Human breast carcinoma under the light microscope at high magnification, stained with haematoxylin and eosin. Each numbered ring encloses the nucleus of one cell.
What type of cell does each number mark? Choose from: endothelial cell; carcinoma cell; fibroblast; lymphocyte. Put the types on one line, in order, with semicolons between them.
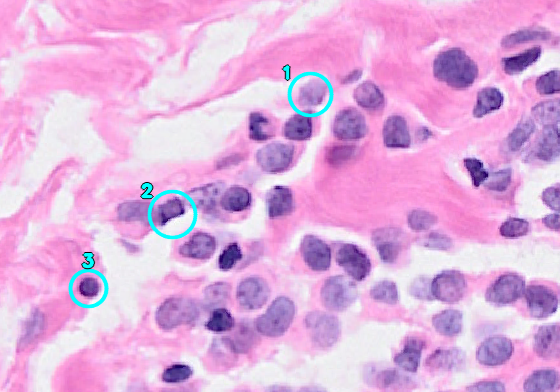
carcinoma cell; carcinoma cell; lymphocyte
